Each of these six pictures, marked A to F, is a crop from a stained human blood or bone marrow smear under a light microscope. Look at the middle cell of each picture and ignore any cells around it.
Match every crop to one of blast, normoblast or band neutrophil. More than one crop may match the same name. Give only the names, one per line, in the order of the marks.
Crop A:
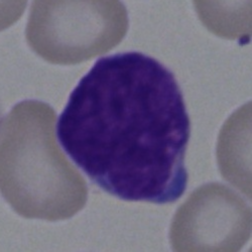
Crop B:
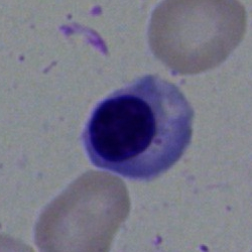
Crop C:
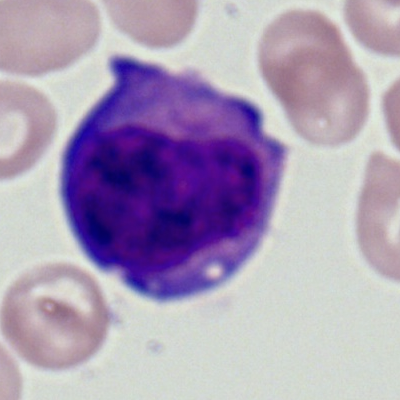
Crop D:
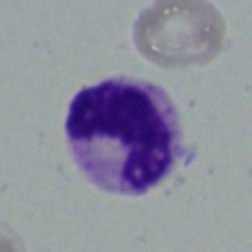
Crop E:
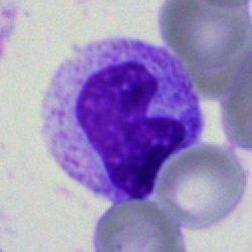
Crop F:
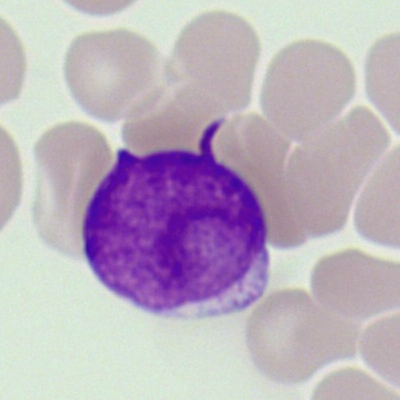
blast
normoblast
blast
band neutrophil
band neutrophil
blast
